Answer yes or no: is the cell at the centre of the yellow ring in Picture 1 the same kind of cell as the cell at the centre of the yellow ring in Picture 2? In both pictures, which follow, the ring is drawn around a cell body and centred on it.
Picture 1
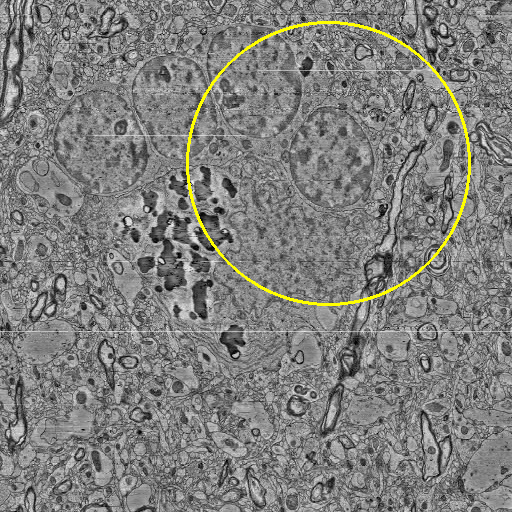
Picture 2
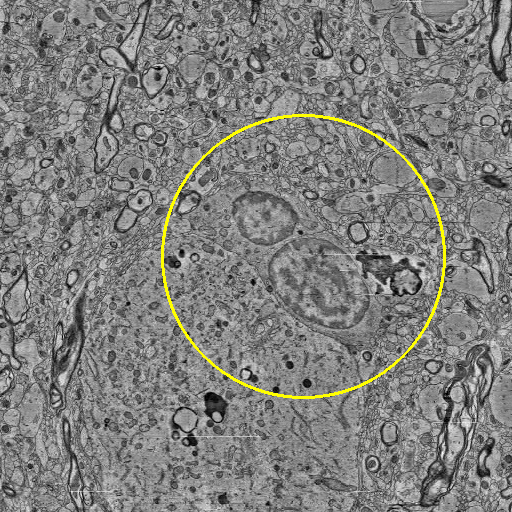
yes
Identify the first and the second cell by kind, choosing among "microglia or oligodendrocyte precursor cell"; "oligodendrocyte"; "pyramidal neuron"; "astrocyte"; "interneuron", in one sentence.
Both rings mark an oligodendrocyte, one in each picture.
